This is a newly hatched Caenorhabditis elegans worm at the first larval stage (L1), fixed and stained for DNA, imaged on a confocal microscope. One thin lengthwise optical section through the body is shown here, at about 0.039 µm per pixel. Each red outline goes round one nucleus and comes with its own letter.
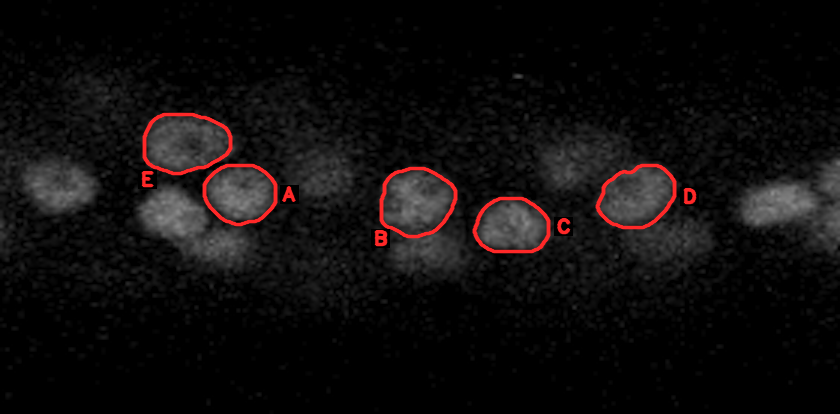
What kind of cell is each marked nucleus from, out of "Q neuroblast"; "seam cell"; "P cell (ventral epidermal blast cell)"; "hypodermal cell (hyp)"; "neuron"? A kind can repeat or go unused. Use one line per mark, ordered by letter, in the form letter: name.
A: Q neuroblast
B: seam cell
C: P cell (ventral epidermal blast cell)
D: seam cell
E: hypodermal cell (hyp)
